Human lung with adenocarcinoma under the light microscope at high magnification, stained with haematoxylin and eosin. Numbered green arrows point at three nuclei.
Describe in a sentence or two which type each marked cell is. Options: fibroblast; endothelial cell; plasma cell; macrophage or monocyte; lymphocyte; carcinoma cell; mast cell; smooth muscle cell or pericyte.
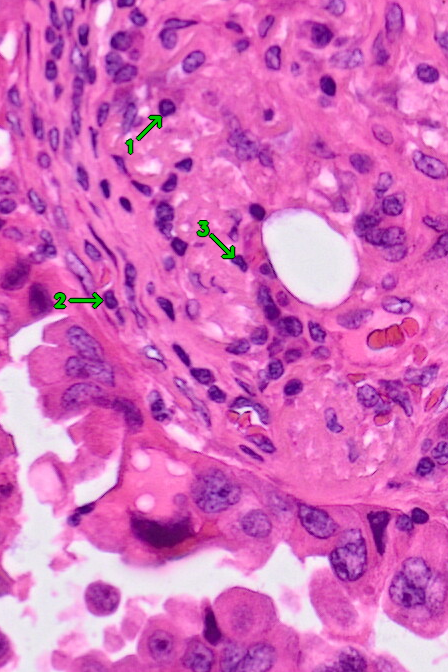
Cell 1 is a plasma cell, cell 2 is a lymphocyte and cell 3 is a lymphocyte.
